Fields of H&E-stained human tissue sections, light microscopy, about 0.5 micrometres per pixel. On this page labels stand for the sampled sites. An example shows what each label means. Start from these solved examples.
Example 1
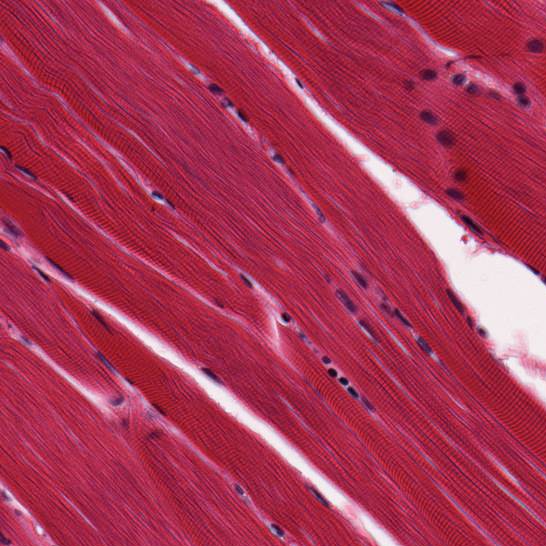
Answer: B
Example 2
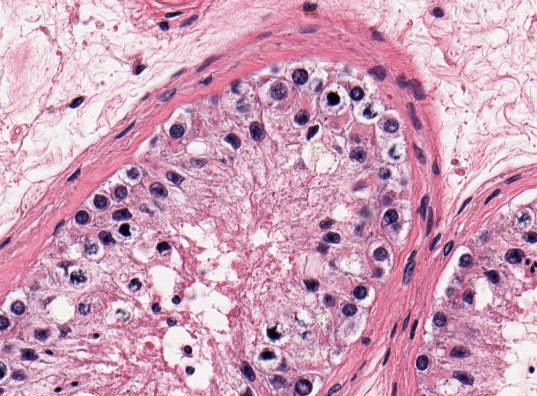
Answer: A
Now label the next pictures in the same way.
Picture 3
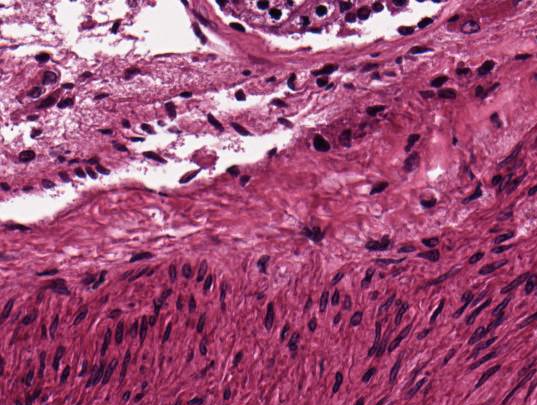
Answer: A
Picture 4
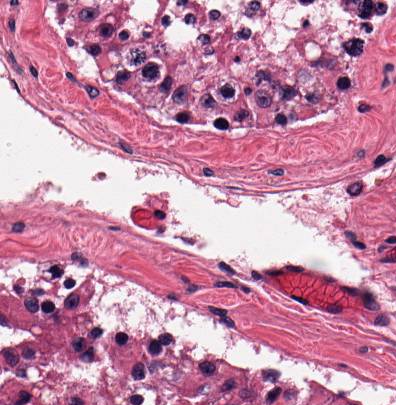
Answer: A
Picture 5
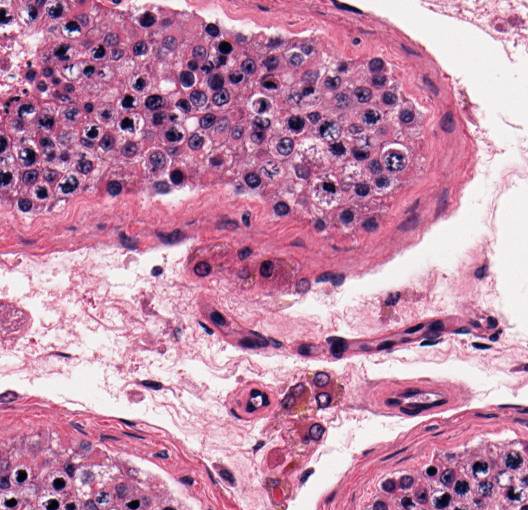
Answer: A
